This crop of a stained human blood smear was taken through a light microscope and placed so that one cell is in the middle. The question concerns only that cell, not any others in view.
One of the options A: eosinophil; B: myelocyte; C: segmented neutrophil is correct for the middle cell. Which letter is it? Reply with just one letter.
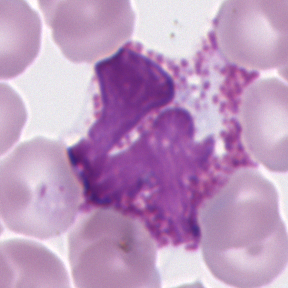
A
